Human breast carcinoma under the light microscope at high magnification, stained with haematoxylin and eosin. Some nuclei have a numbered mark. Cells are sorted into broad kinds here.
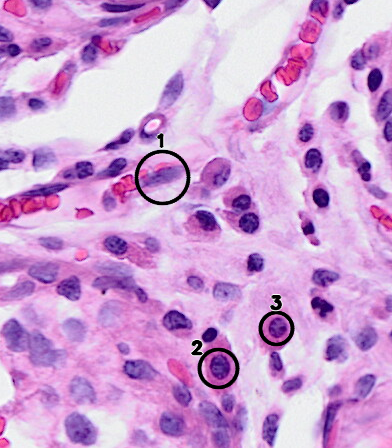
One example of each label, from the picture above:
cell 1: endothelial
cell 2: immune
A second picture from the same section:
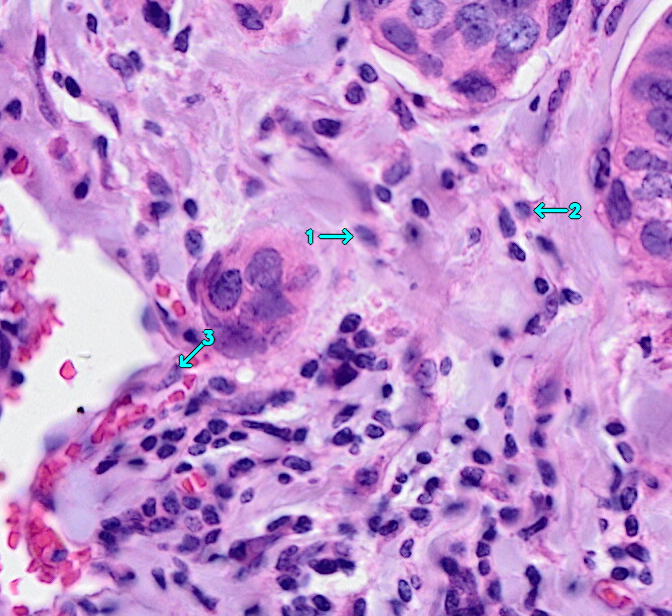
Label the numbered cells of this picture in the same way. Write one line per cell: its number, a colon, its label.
1: immune
2: immune
3: endothelial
